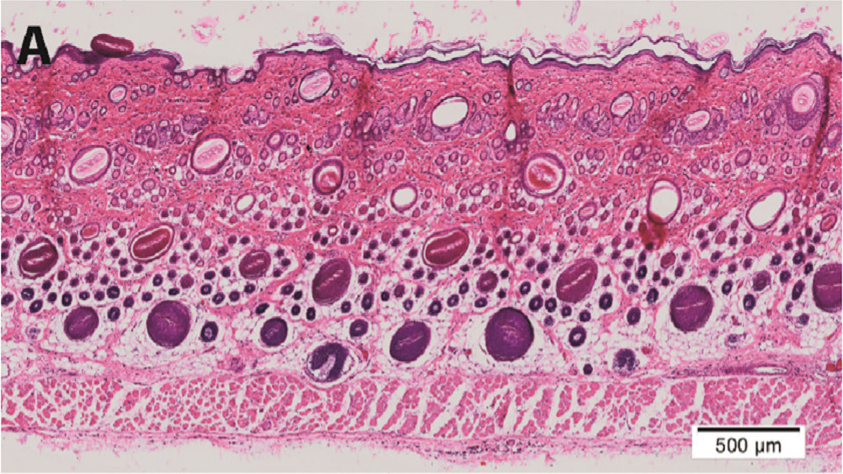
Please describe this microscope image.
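Full thickness skin with a thin purple epidermis along the upper surface over a thick pink dermis. The dermis holds many hair follicles cut across or obliquely, the upper ones often with hollow or pink hair shafts, the deeper ones as round purple bulbs packed with cells. Pale, finely vacuolated tissue surrounds the deep follicles. A band of pink muscle fibres cut in cross-section runs beneath, covered by a thin layer of connective tissue.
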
